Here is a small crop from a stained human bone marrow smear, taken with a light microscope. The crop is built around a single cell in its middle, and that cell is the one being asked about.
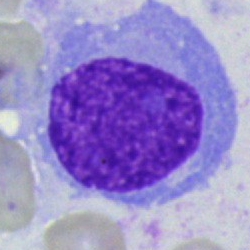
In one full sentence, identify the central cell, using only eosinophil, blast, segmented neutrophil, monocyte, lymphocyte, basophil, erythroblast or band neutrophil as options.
The center cell of this crop is a monocyte.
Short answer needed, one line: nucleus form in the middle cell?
There is one compact nucleus, and its shape is round, oval or kidney-like.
